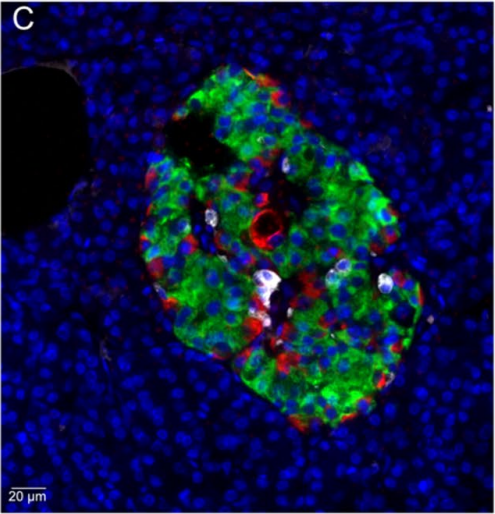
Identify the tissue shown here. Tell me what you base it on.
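Islets. A rounded, sharply bounded cluster of cells lies within surrounding tissue. Most cells of the cluster are filled with green label, with red and white cells among them.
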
